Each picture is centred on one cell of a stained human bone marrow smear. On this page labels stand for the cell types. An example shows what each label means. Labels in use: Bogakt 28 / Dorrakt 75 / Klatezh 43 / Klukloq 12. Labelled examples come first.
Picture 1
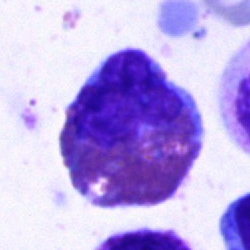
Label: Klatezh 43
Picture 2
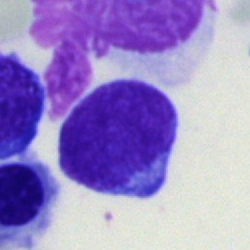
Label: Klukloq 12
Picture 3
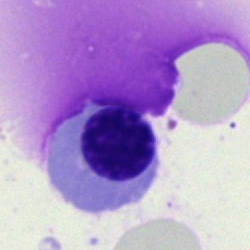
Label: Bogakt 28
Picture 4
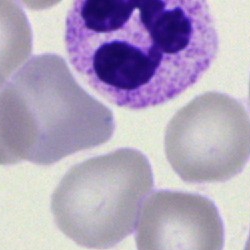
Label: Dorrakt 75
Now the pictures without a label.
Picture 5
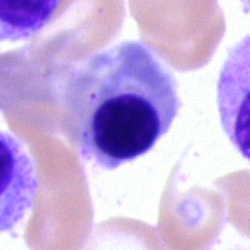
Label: Bogakt 28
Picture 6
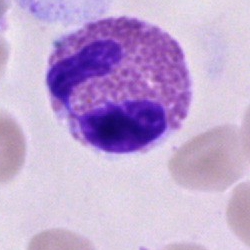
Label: Klatezh 43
